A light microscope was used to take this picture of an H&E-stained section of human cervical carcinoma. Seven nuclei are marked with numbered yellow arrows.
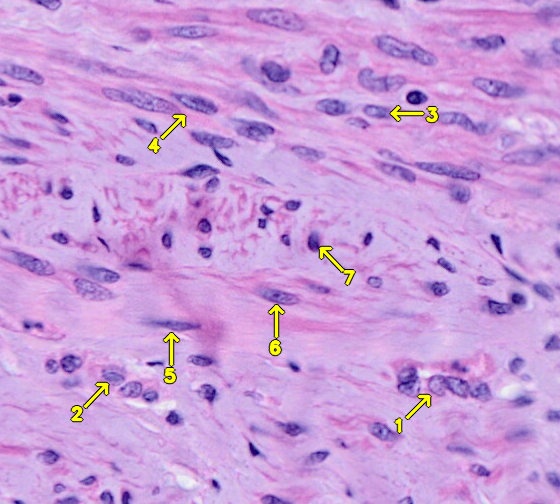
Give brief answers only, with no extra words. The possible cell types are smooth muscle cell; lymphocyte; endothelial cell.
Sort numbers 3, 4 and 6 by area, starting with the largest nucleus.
4, 6, 3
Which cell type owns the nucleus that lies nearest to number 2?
endothelial cell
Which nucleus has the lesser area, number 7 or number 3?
7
